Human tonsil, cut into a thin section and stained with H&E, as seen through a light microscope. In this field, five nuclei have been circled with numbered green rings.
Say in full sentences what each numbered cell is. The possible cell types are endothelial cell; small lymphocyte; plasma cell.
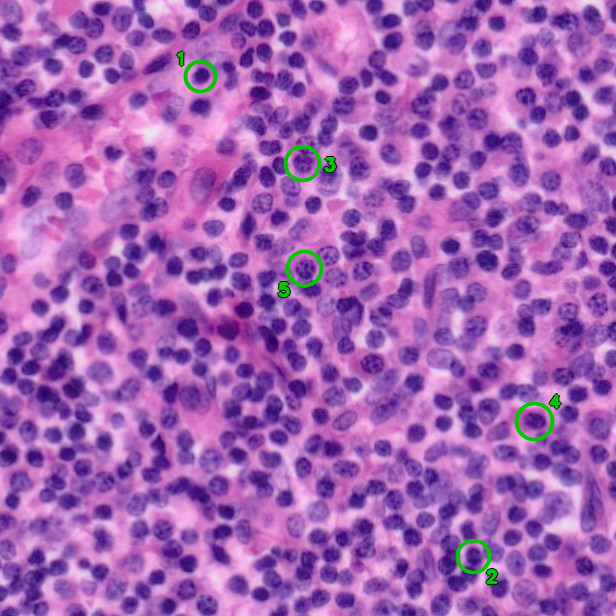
Cell 1 is an endothelial cell, cell 2 is a small lymphocyte, cell 3 is a plasma cell, cell 4 is a plasma cell and cell 5 is a plasma cell.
